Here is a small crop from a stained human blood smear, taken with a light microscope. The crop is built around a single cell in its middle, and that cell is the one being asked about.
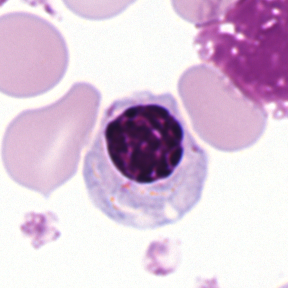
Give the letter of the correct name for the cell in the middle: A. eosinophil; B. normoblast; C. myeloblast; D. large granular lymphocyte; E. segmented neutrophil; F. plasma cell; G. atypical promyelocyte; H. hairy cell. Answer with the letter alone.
B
